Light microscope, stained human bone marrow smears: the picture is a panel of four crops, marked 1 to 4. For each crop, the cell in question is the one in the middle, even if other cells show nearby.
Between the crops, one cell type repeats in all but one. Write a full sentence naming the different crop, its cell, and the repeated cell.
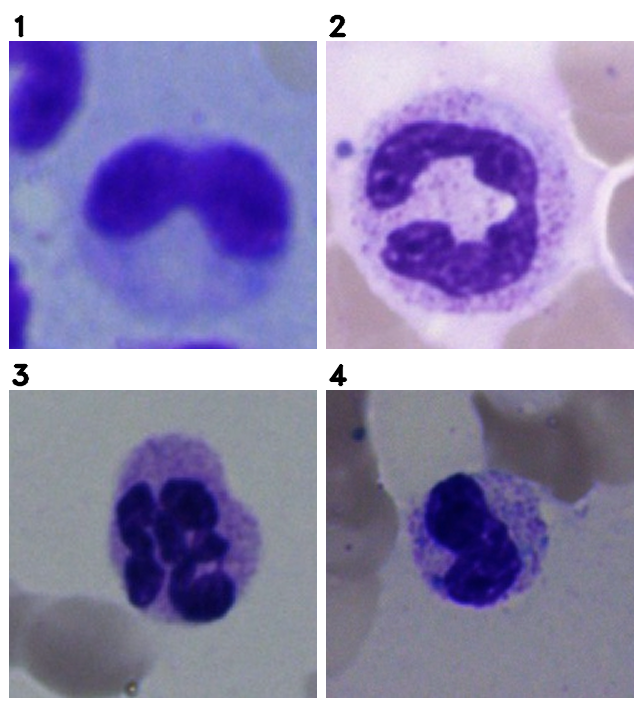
Crop 1 is the outlier, with a band neutrophil against segmented neutrophils in the rest.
